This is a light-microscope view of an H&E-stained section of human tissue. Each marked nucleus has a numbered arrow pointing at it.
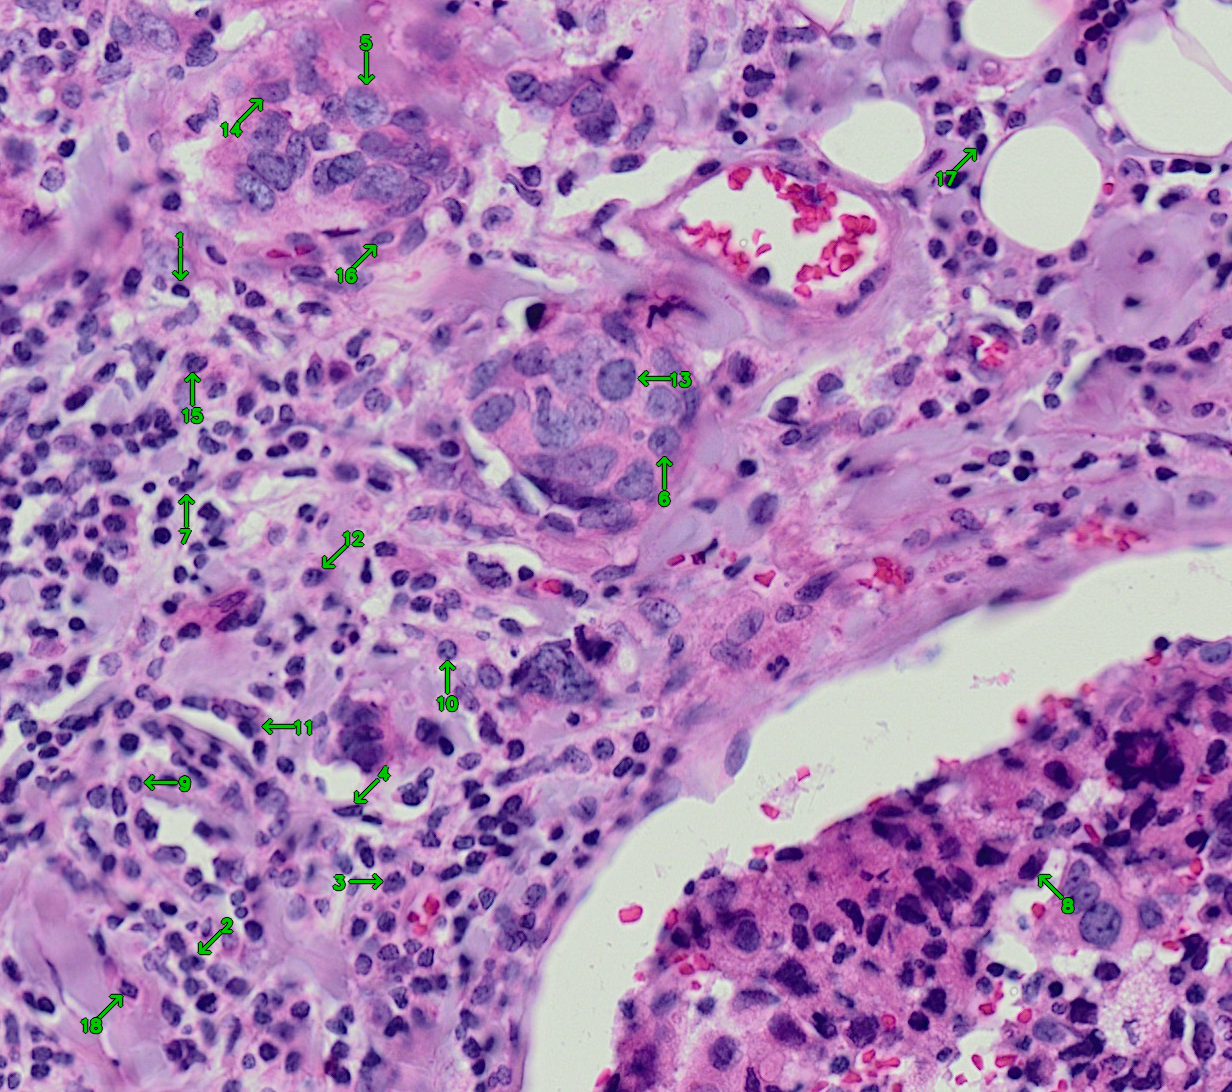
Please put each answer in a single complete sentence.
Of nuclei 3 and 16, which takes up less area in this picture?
Nucleus 16 covers less area, with nucleus 3 about 1.5 times as large.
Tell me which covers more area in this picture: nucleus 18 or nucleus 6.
Nucleus 6 covers more area, about 3 times as much as nucleus 18.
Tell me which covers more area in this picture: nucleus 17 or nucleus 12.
Nucleus 12 covers more area, about 1.5 times as much as nucleus 17.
